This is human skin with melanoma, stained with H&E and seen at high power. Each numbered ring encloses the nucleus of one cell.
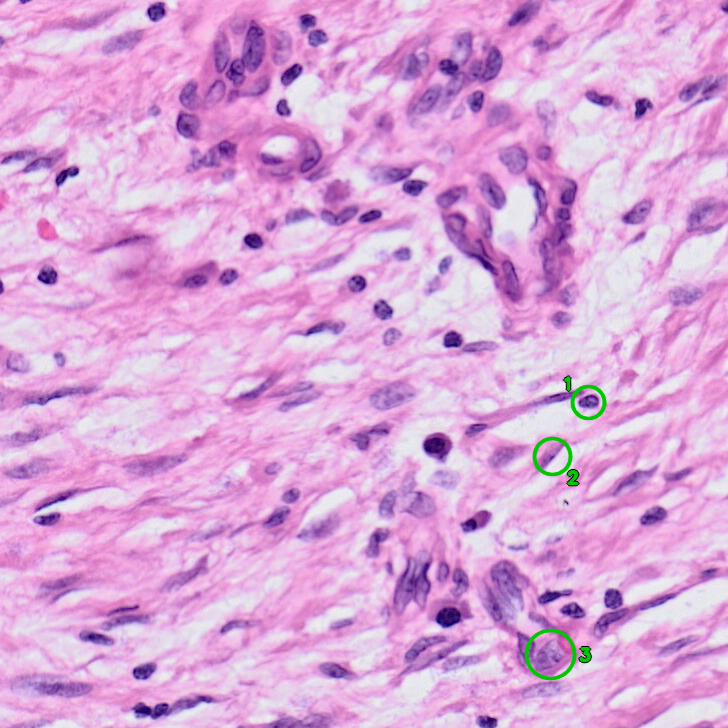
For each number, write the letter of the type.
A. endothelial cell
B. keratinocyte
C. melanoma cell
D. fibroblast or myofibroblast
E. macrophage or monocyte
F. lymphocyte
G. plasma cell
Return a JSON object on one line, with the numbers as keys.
{"1": "F", "2": "D", "3": "A"}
